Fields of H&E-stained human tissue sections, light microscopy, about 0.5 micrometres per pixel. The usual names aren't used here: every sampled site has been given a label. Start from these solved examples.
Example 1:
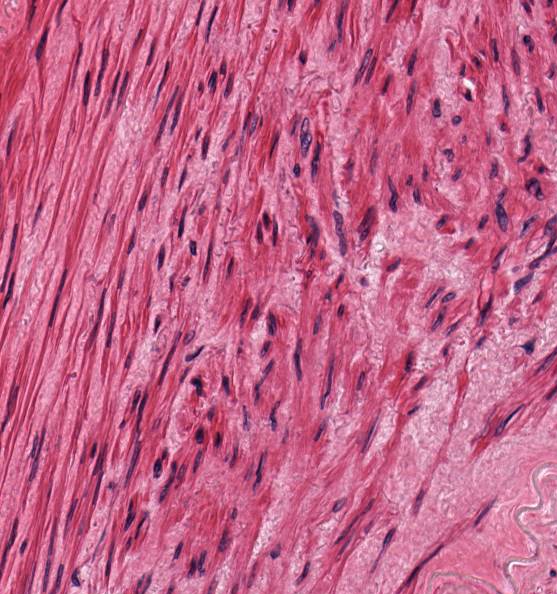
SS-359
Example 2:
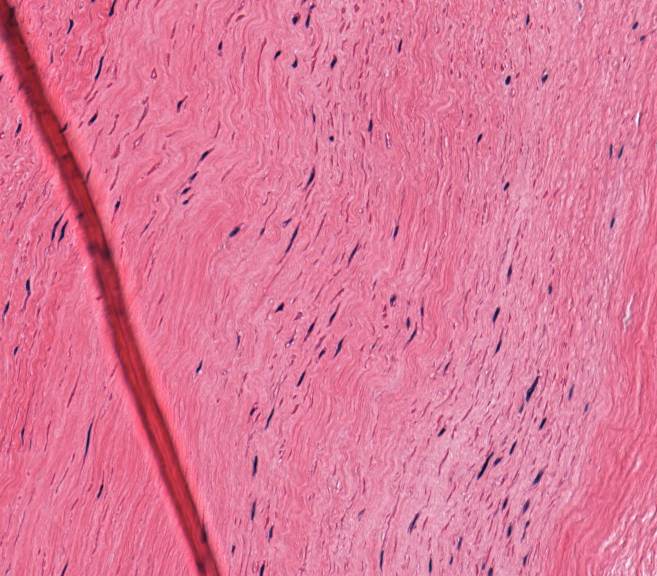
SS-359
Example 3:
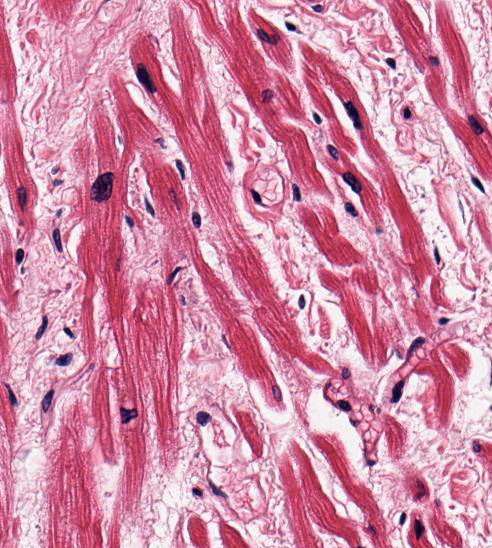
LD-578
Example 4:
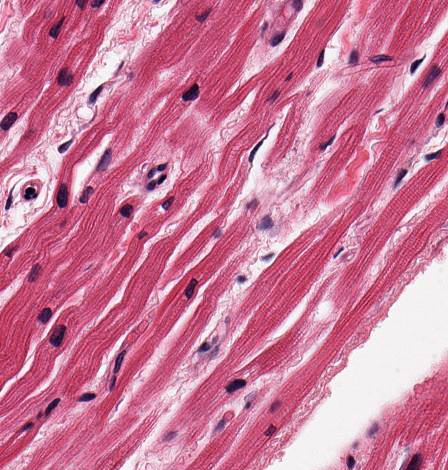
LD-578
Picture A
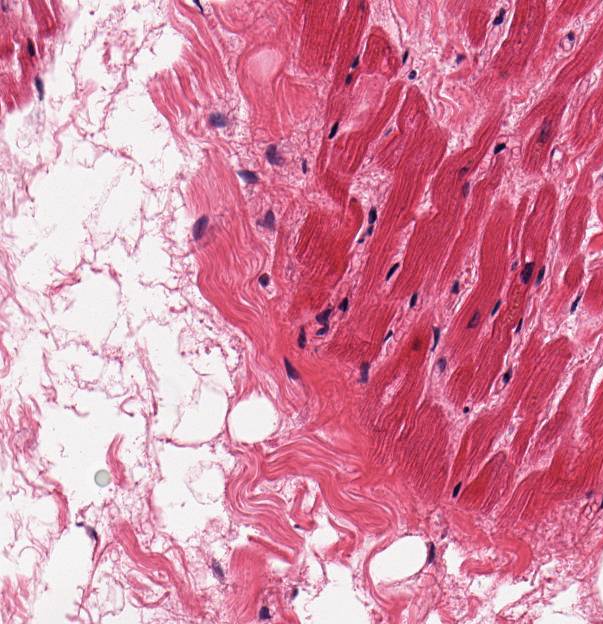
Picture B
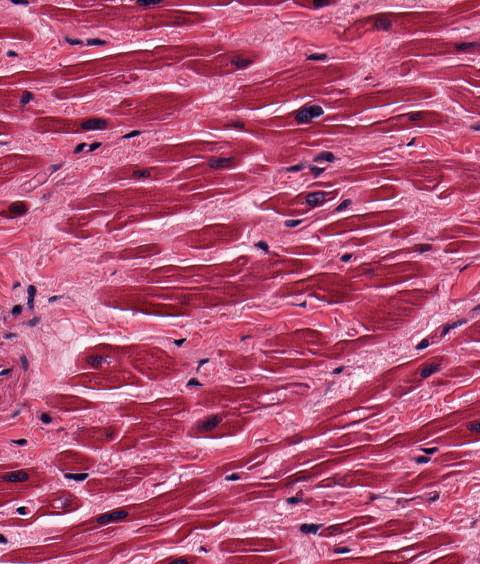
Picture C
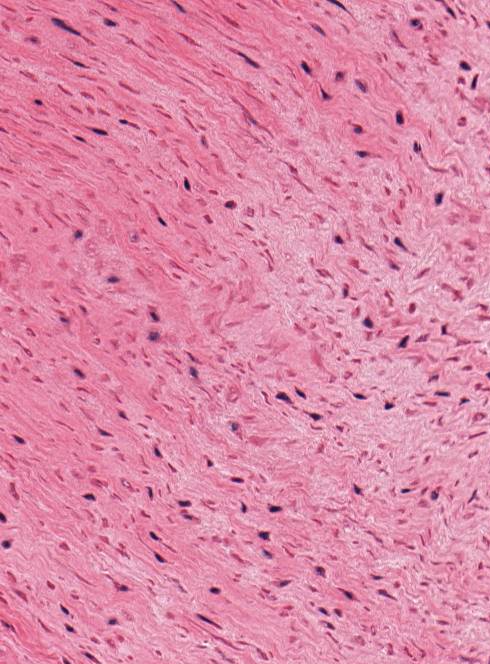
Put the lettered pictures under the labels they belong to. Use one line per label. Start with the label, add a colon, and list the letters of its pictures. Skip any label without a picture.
SS-359: C
LD-578: A, B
